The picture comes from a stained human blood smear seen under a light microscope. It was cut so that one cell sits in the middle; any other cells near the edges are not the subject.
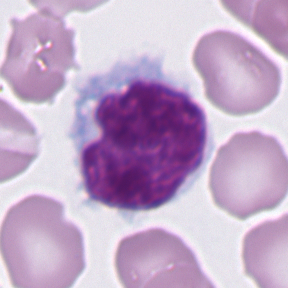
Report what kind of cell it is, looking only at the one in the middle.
hairy cell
